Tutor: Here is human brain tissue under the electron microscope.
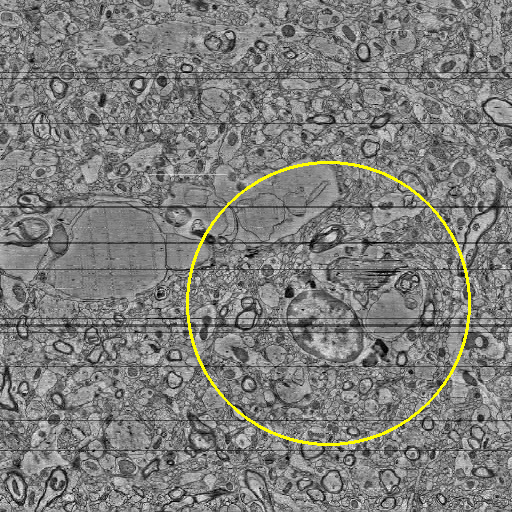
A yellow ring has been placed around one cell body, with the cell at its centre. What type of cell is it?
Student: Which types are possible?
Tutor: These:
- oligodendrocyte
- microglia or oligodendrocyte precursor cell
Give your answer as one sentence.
What the ring picks out here is a microglial cell or oligodendrocyte precursor cell.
